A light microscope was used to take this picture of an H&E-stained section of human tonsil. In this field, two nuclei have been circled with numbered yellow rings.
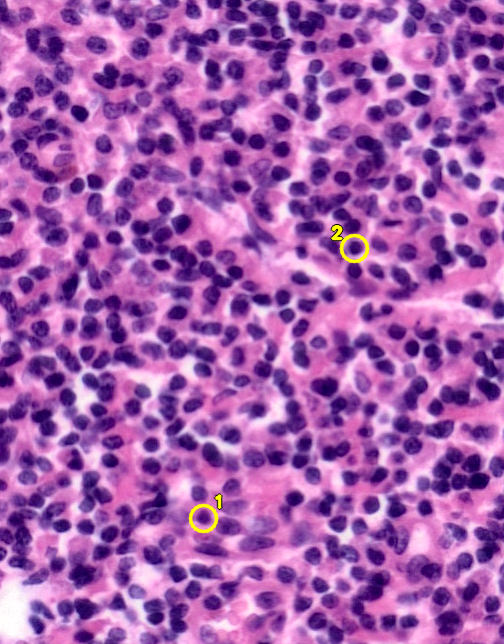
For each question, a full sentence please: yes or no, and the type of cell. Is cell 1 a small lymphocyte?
No, the cell under number 1 is an endothelial cell, not a small lymphocyte.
